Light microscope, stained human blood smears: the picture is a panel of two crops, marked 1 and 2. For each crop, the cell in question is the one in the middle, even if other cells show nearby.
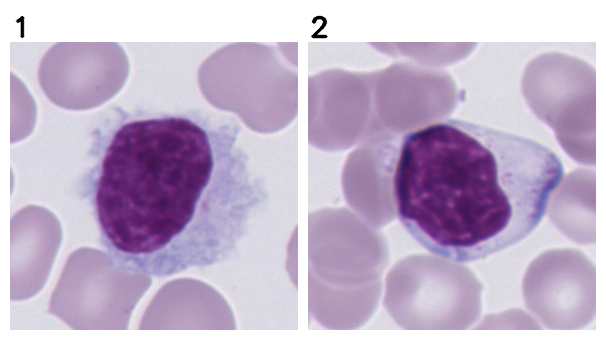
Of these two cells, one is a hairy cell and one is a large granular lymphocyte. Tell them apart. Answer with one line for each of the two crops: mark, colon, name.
1: hairy cell
2: large granular lymphocyte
